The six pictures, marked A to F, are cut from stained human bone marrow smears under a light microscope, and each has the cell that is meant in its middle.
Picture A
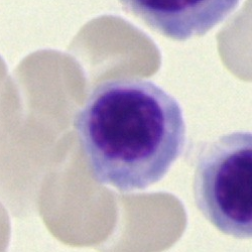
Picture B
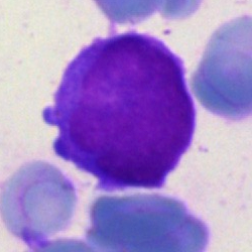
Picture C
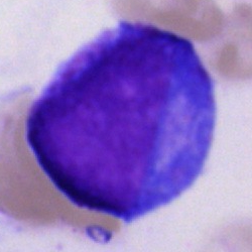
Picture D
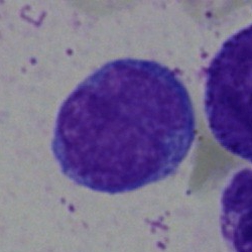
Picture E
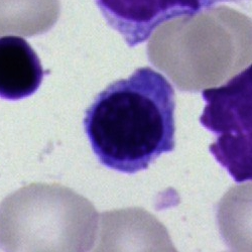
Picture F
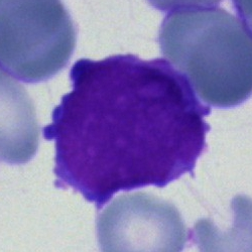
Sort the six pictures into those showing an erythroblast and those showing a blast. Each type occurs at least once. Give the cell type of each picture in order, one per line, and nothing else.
erythroblast
blast
blast
blast
erythroblast
blast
